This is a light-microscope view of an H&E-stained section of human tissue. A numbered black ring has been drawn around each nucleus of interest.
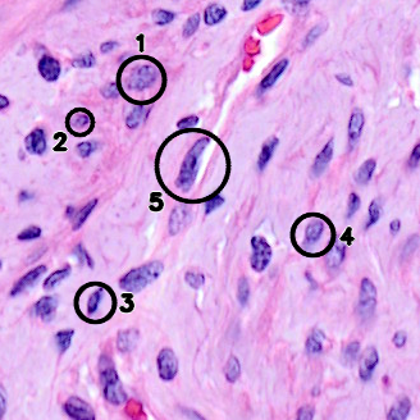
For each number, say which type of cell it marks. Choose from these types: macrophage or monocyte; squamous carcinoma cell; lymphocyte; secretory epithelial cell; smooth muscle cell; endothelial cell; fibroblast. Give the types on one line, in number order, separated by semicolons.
smooth muscle cell; smooth muscle cell; fibroblast; smooth muscle cell; endothelial cell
